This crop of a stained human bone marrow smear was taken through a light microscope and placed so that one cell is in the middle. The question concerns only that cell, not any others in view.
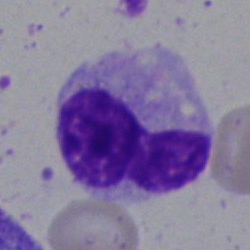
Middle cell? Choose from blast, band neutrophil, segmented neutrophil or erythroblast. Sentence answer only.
The cell found in the middle of this crop is a band neutrophil.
